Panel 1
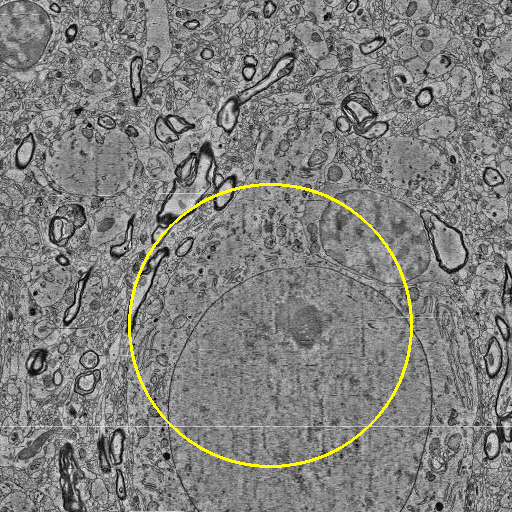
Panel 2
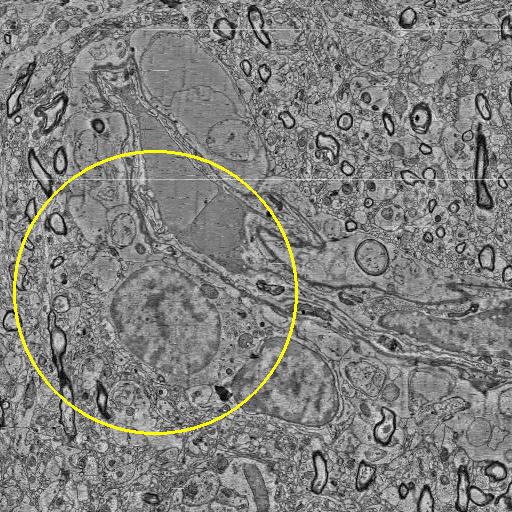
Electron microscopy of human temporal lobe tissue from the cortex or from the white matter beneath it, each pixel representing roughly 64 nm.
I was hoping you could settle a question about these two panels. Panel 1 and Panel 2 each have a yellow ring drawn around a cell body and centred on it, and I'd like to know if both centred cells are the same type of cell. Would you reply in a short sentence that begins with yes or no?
No, they are two types of cell.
